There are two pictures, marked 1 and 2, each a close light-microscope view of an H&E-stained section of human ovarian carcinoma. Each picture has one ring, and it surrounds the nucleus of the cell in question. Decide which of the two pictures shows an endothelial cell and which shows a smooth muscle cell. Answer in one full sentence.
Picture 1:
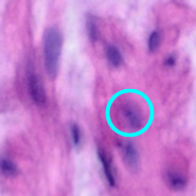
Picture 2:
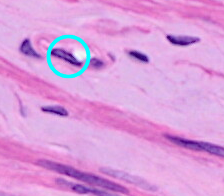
It is picture 1 that shows a smooth muscle cell, and picture 2 that shows an endothelial cell.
